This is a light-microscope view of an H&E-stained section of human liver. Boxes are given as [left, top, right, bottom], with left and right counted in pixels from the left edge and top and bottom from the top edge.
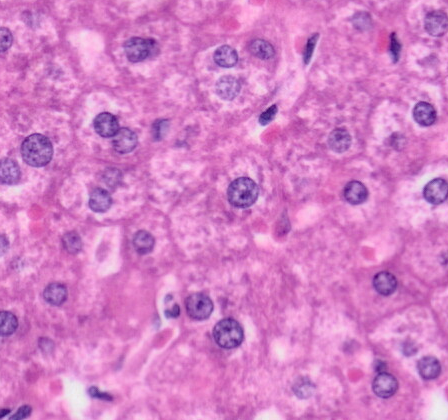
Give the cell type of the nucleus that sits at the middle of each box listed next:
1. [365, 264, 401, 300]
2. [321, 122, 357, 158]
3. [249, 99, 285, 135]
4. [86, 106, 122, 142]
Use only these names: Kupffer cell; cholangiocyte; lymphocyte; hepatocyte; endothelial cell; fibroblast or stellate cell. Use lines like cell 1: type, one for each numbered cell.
cell 1: hepatocyte
cell 2: hepatocyte
cell 3: lymphocyte
cell 4: hepatocyte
